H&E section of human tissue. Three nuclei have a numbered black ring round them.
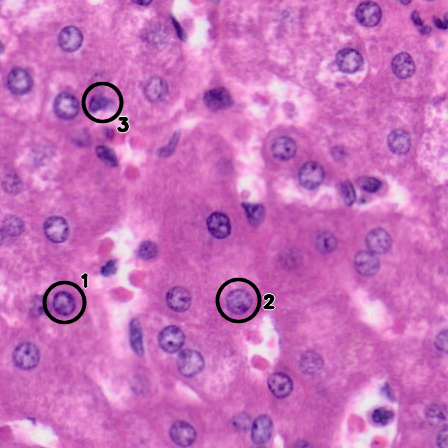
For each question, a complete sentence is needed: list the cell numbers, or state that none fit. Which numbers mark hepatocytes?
Within this tissue, the cells numbered 1 and 2 are hepatocytes.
